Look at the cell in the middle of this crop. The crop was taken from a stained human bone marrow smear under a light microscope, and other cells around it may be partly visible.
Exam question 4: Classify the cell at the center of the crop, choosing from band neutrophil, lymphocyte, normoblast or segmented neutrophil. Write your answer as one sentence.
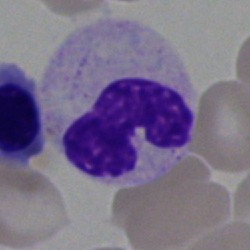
Here the centrally located cell is a band neutrophil.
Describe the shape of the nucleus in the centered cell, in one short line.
The nuclear material is gathered into one compact round, oval or kidney-shaped mass.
